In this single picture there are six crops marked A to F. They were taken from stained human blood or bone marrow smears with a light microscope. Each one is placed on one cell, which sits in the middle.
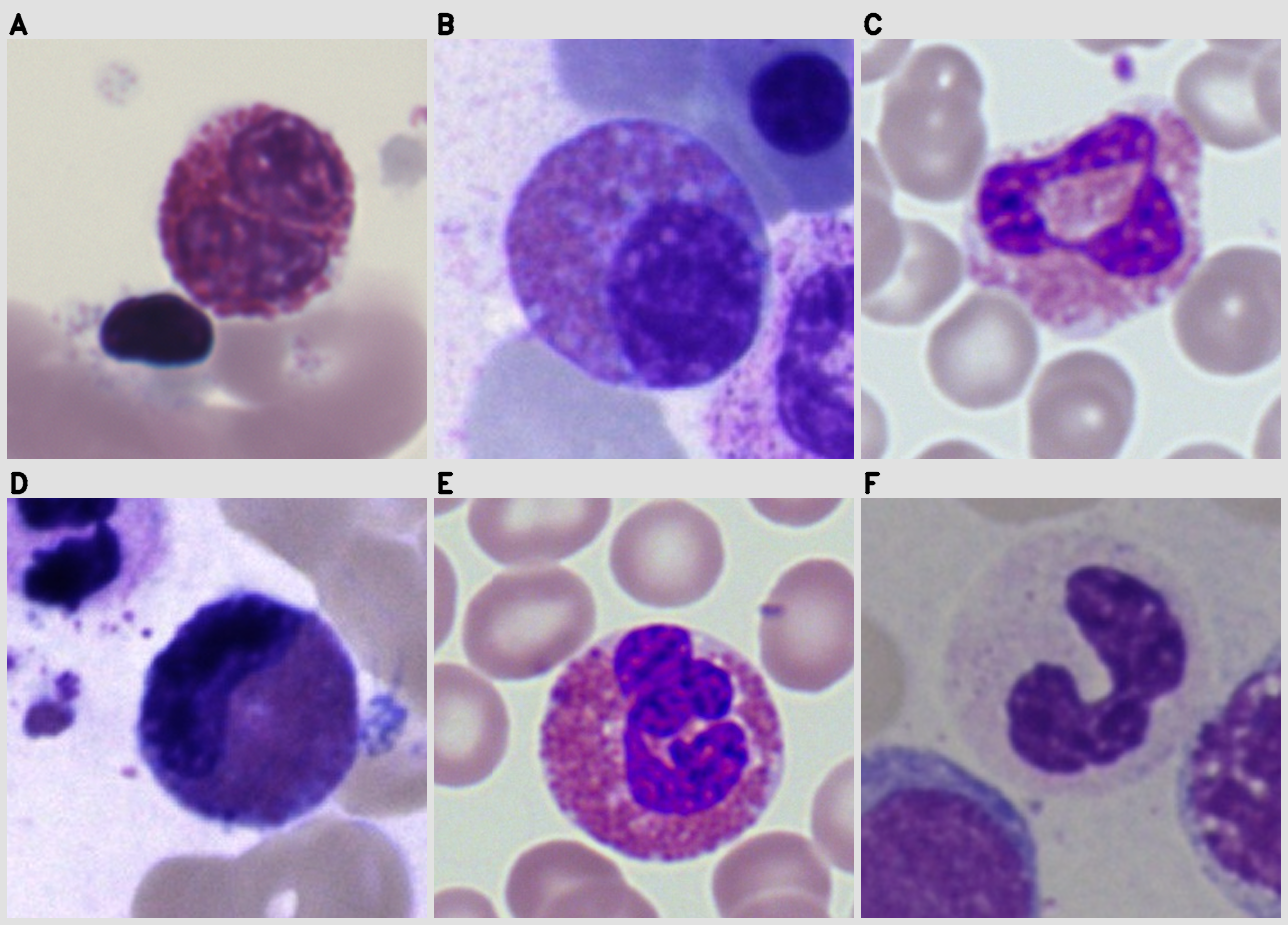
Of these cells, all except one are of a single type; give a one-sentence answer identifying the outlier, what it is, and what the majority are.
The exception is crop F, with a segmented neutrophil; the remaining crops all show eosinophils.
